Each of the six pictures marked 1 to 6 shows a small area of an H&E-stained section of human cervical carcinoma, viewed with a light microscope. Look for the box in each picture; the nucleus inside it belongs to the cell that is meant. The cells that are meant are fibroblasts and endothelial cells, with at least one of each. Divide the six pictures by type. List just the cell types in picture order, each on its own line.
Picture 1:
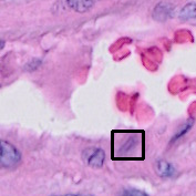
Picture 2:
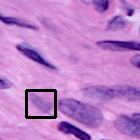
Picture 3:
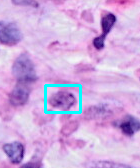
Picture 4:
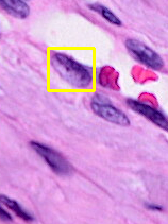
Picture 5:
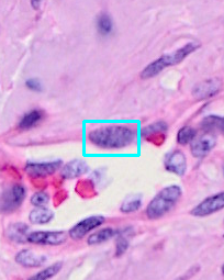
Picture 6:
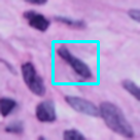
endothelial cell
fibroblast
fibroblast
endothelial cell
endothelial cell
fibroblast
